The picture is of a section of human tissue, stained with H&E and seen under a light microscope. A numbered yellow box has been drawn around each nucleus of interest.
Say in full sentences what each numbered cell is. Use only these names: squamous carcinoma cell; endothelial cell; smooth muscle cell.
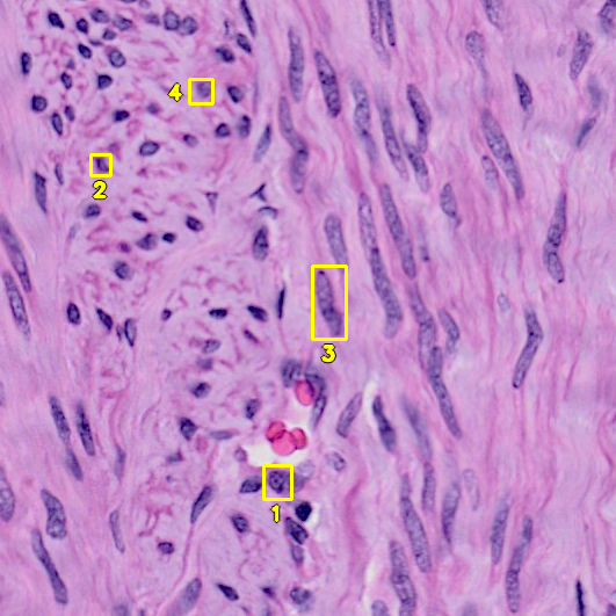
Cell 1 is an endothelial cell, cell 2 is a smooth muscle cell, cell 3 is a smooth muscle cell and cell 4 is a smooth muscle cell.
